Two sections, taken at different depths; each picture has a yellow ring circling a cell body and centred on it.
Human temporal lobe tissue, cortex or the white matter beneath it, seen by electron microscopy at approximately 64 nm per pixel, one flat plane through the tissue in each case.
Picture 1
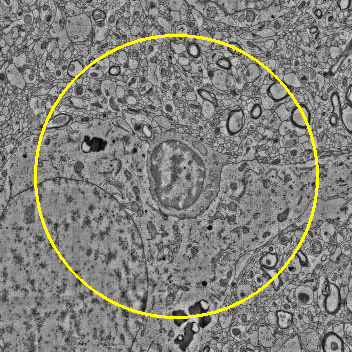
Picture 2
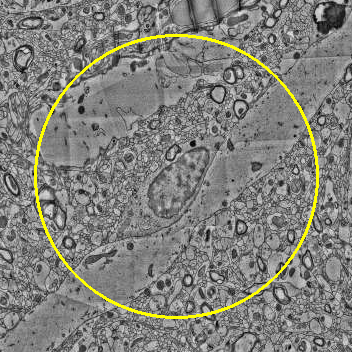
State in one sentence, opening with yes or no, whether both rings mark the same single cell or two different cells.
No, the rings surround different cells rather than one cell.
